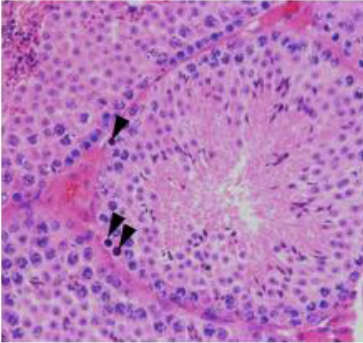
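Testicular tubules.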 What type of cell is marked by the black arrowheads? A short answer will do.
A: Apoptotic cells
